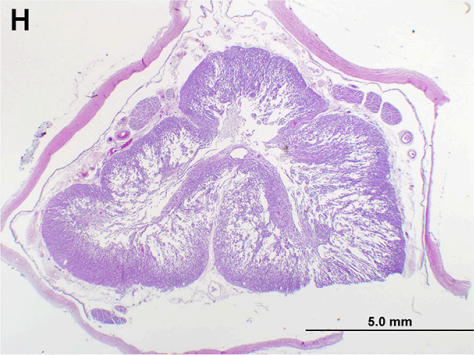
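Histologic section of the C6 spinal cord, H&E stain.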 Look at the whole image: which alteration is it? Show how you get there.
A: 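The central region of the cord cross-section is pale and loosened rather than evenly stained. Irregular clear spaces lie within the central region of the section.
Conclusion: Bilateral cavitation and necrosis of the gray matter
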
